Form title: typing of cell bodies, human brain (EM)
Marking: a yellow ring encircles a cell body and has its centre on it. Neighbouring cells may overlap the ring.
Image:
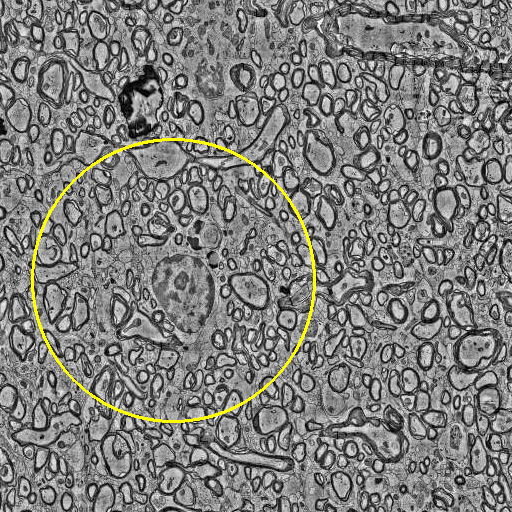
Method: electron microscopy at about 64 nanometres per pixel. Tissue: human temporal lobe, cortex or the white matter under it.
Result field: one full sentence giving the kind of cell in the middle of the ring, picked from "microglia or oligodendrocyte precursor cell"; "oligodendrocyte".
In the picture, the ring is centred on a microglial cell or oligodendrocyte precursor cell, whose cell body it encircles.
